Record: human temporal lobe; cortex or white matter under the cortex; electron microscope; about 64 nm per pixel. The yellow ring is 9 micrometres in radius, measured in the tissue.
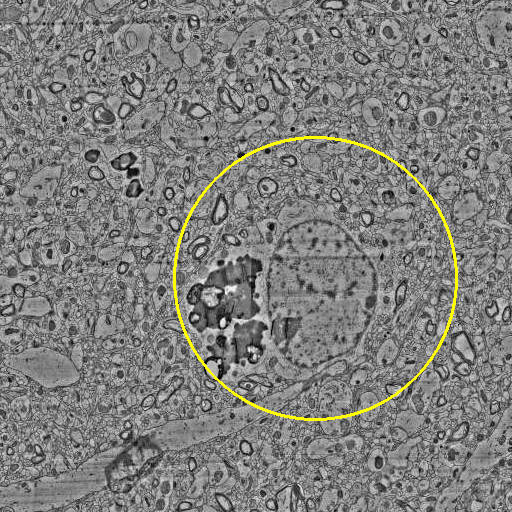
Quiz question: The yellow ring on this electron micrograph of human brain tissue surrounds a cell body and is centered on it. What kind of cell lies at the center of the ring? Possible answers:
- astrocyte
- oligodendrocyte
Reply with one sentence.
The ring's center lies on an astrocyte.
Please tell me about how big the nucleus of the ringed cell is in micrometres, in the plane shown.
In this plane the nucleus measures roughly 9 by 7 micrometers.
